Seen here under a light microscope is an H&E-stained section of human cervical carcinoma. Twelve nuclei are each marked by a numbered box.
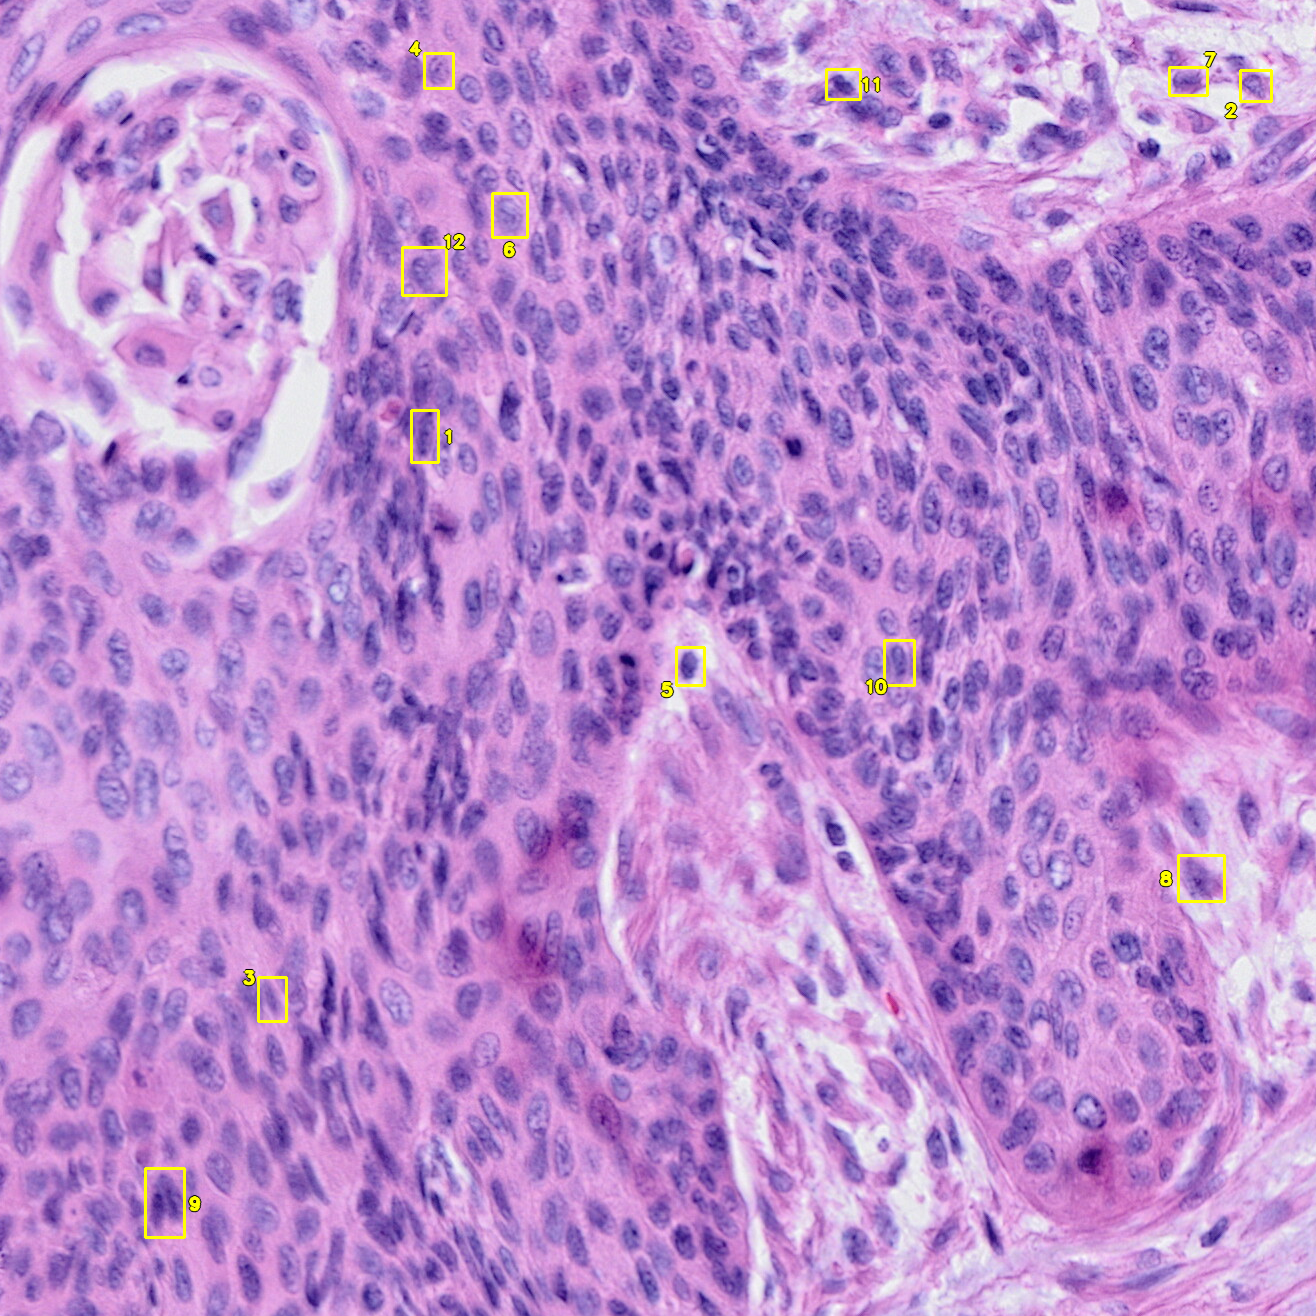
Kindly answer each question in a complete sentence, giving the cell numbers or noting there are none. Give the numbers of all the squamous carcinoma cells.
Classified as squamous carcinoma cells are the cells numbered 1, 3, 4, 6, 9, 10 and 12.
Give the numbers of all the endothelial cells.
Across all the numbered cells, only number 2 is an endothelial cell.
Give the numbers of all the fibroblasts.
The cells identified by the numbers 7 and 8 are fibroblasts.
